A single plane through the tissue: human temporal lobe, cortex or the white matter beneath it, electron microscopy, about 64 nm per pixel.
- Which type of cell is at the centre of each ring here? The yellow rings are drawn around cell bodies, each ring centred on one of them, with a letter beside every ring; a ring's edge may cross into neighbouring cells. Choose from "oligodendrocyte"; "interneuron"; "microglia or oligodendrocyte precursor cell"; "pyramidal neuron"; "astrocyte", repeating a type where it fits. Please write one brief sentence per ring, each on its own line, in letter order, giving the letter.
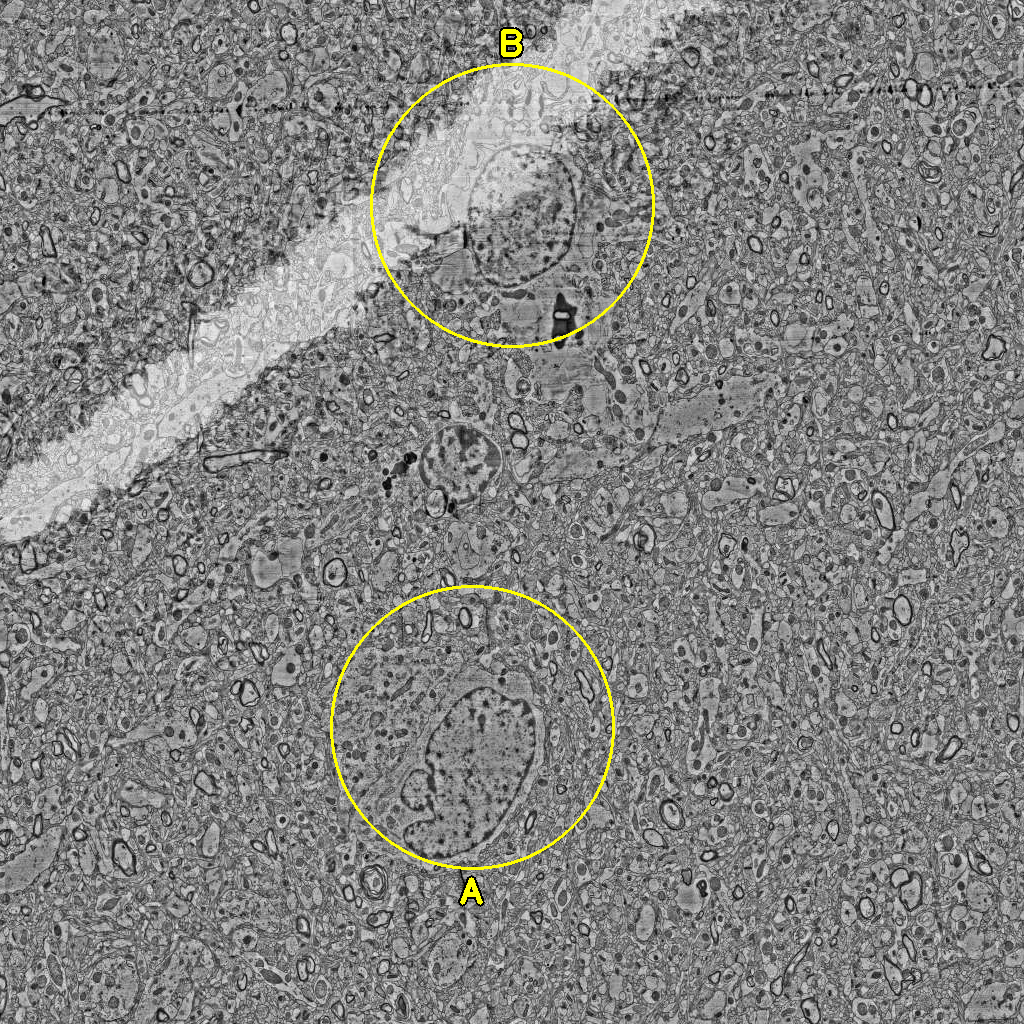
Ring A is centred over a microglial cell or oligodendrocyte precursor cell.
Ring B is centred over an astrocyte.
